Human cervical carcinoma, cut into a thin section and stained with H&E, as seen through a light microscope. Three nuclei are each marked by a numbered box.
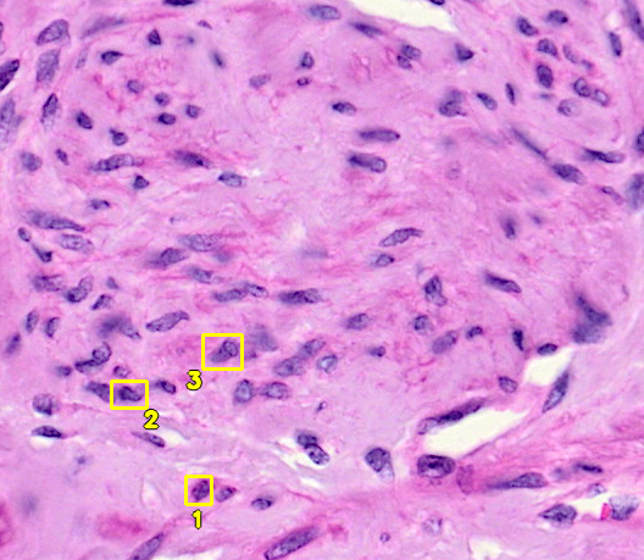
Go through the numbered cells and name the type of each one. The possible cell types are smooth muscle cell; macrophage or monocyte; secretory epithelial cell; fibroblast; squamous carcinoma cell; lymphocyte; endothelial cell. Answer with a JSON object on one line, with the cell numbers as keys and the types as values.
{"1": "smooth muscle cell", "2": "fibroblast", "3": "smooth muscle cell"}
